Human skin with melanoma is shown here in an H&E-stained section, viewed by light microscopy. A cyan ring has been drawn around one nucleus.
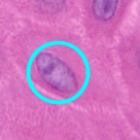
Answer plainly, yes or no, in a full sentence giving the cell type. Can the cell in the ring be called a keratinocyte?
Yes, identifying the cell in the ring as a keratinocyte is right.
